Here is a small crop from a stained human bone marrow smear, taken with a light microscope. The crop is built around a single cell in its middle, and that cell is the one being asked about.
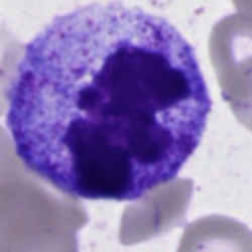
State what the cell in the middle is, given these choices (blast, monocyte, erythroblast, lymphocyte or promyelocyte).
promyelocyte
